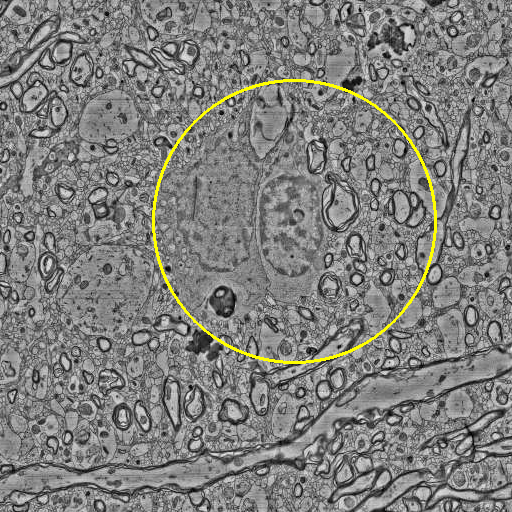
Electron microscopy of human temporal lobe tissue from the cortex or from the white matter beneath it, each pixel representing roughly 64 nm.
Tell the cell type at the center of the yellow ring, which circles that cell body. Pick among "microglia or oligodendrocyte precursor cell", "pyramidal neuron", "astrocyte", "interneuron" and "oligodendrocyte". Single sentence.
The ring is centered on the body of an oligodendrocyte.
